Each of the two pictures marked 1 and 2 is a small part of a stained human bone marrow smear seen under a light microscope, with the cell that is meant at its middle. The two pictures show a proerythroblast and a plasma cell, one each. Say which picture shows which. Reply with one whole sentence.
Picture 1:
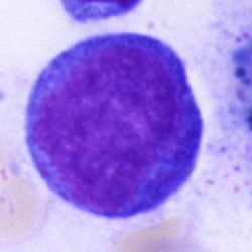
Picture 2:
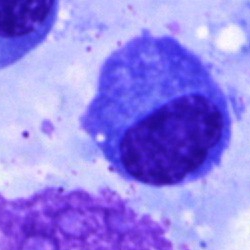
The cell in picture 1 is a proerythroblast, and the one in picture 2 is a plasma cell.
